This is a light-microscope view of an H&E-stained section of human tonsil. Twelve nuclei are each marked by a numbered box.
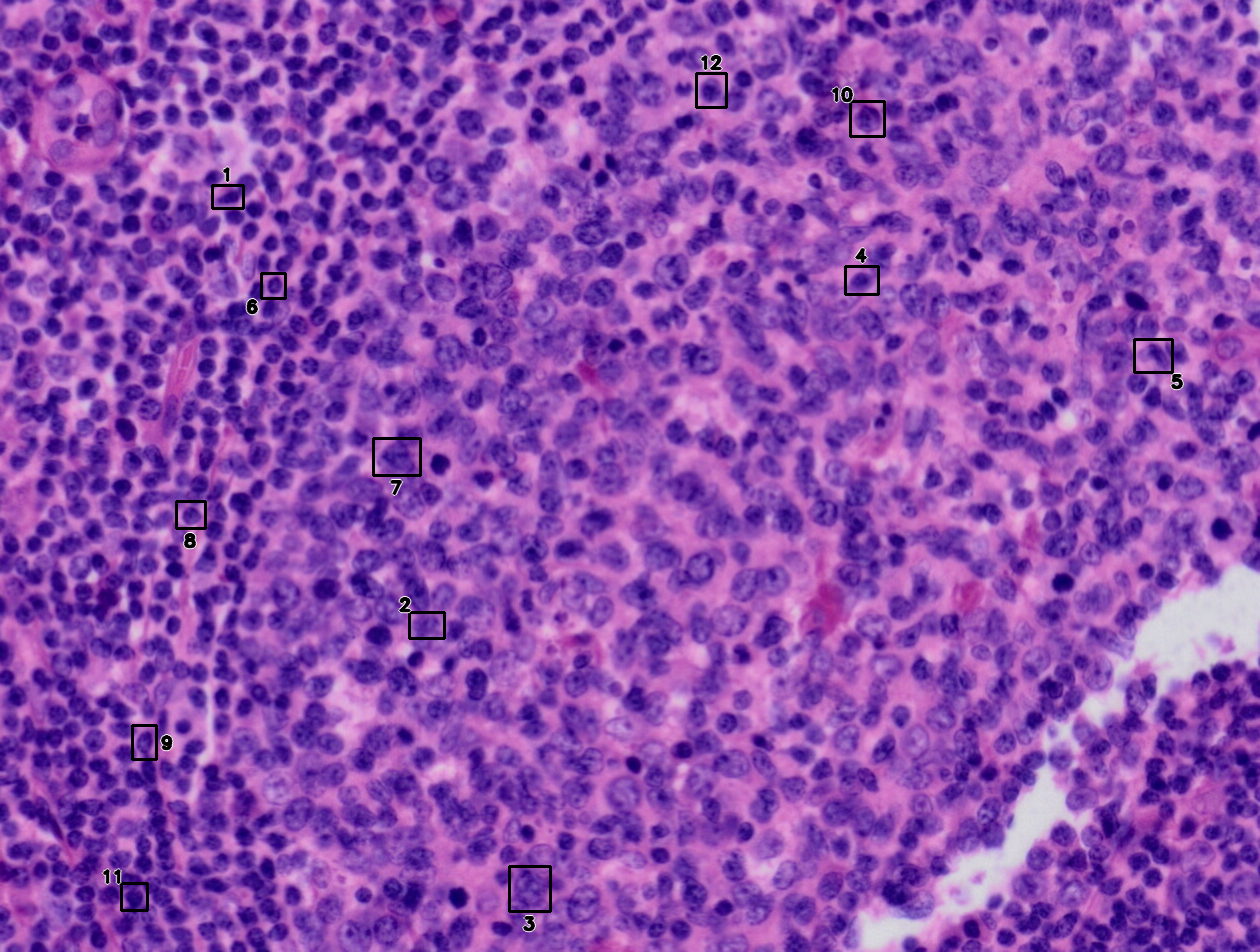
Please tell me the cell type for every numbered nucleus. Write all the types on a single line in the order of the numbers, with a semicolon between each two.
small lymphocyte; proliferating B cell; proliferating B cell; proliferating B cell; proliferating B cell; small lymphocyte; proliferating B cell; small lymphocyte; small lymphocyte; proliferating B cell; small lymphocyte; proliferating B cell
